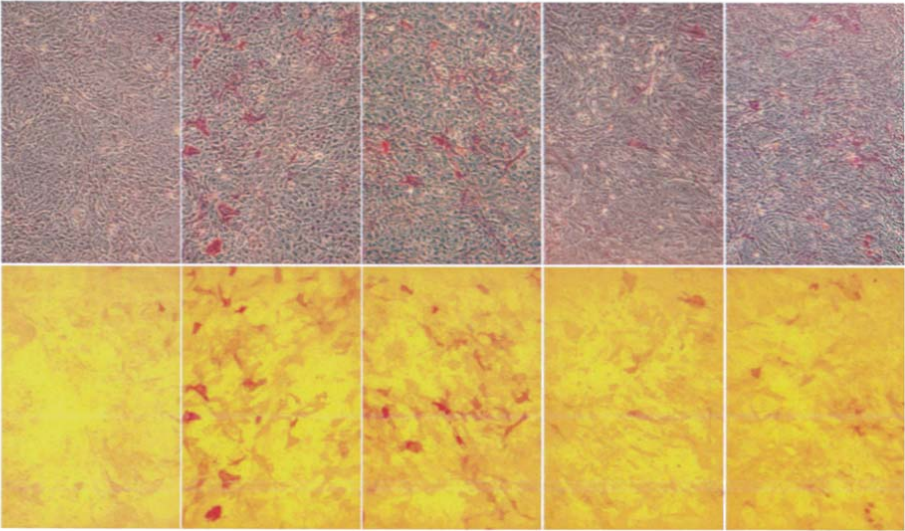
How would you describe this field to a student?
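These are cultured cells forming a dense, continuous monolayer. In the upper row, phase contrast shows closely packed, elongated cells, with scattered individual cells stained red. In the lower row, the same kind of culture appears on a yellow background, where red-stained cells stand out singly or in small groups with irregular, branching outlines. The red cells are spread unevenly among many unstained neighbours, and their number varies from field to field.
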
